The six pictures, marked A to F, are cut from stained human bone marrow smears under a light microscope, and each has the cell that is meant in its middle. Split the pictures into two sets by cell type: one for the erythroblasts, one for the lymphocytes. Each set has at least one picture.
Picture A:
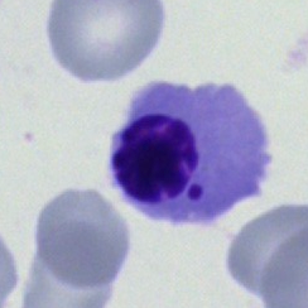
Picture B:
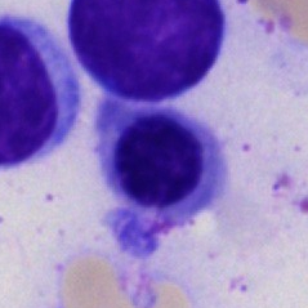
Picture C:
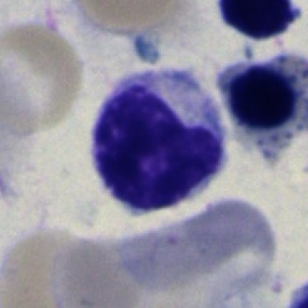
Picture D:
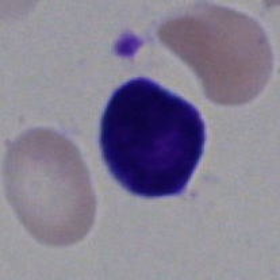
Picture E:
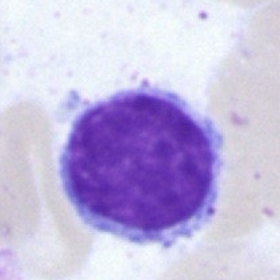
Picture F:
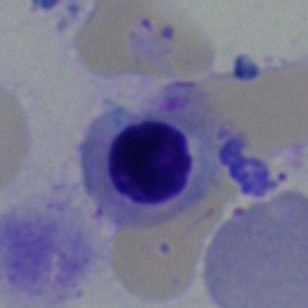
A: erythroblast
B: erythroblast
C: lymphocyte
D: lymphocyte
E: lymphocyte
F: erythroblast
